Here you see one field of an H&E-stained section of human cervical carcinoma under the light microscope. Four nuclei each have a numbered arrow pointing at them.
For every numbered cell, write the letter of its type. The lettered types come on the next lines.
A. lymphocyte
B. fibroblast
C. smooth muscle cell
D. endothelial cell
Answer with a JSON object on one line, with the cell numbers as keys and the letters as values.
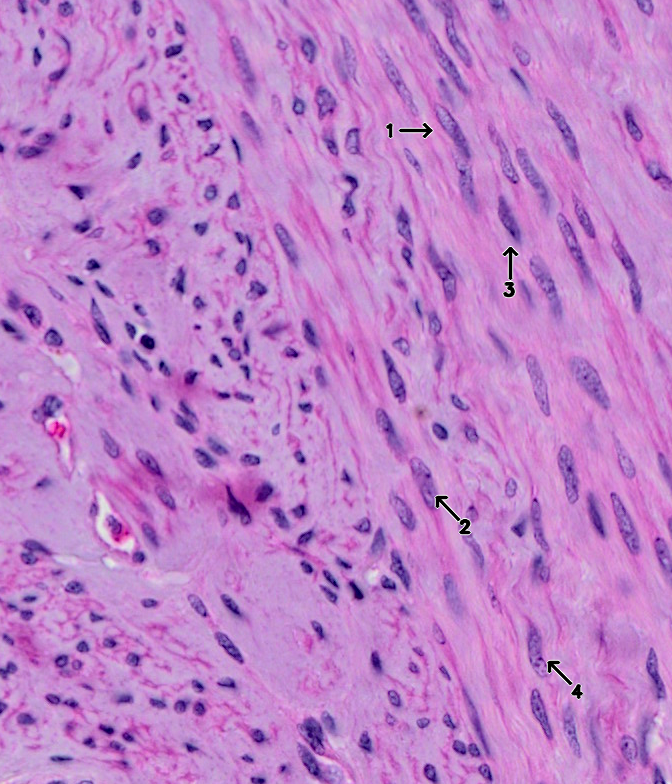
{"1": "C", "2": "C", "3": "B", "4": "C"}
